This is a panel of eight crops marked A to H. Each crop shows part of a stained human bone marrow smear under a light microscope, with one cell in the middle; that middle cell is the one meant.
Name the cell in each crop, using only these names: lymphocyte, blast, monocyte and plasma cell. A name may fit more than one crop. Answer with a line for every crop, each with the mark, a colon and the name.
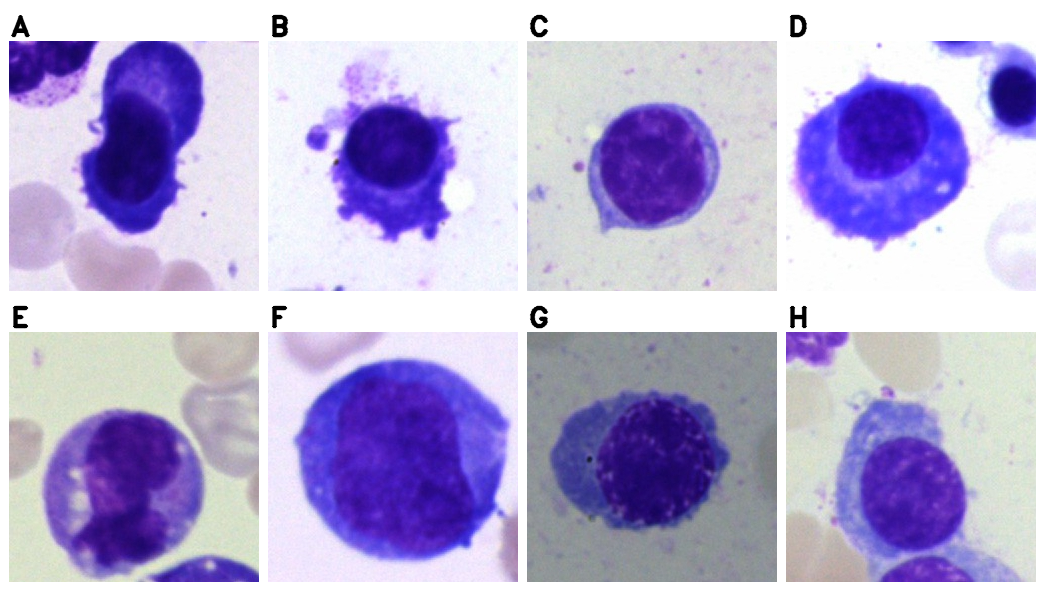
A: plasma cell
B: plasma cell
C: lymphocyte
D: plasma cell
E: monocyte
F: blast
G: plasma cell
H: plasma cell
